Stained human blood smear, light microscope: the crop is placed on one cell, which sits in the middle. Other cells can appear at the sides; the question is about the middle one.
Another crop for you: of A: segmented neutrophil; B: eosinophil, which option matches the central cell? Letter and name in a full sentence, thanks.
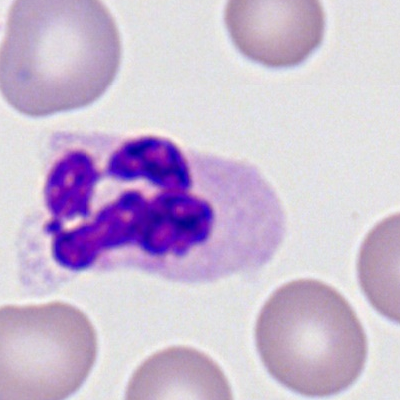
The best answer is option A, since the cell in the middle is a segmented neutrophil.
